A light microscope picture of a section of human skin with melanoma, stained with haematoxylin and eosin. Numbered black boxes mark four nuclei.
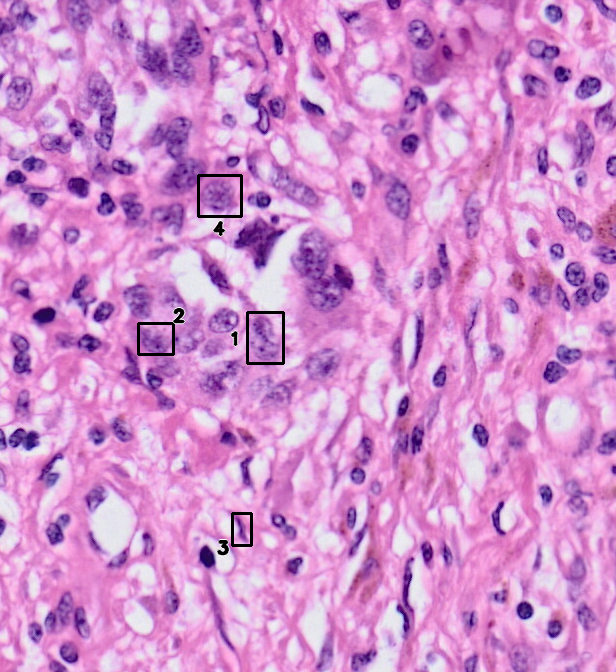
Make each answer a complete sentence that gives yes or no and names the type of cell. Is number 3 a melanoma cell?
No, cell 3 is not to be taken for a melanoma cell; it is a fibroblast or myofibroblast.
